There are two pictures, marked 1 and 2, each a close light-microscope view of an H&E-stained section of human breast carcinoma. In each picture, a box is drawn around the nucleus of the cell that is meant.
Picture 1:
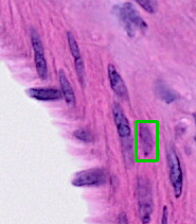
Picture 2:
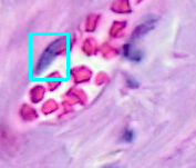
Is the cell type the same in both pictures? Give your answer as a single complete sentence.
Yes, both cells are endothelial cells.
